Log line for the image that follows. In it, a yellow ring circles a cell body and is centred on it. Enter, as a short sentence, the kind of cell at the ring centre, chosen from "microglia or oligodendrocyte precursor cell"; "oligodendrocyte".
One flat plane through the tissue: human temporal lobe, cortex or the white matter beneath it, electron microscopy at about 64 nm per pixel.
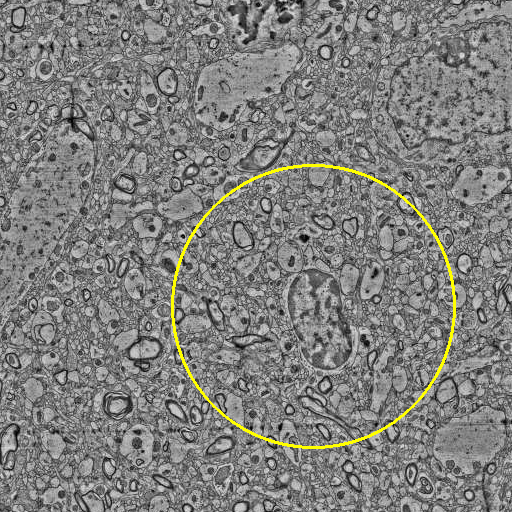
The ring centre is occupied by a microglial cell or oligodendrocyte precursor cell.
